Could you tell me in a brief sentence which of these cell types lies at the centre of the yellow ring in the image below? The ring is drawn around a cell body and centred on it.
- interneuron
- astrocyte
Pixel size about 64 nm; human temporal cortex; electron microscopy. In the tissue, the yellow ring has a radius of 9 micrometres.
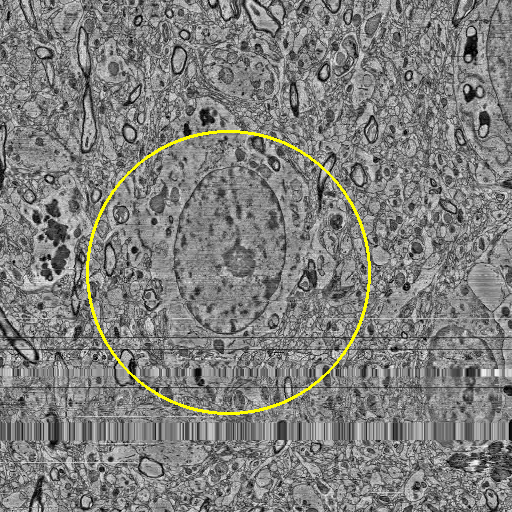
The cell centred in the ring is an astrocyte.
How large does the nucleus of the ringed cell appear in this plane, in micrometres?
Clearly longer than it is wide in this plane, the nucleus measures roughly 11 by 7 micrometres.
